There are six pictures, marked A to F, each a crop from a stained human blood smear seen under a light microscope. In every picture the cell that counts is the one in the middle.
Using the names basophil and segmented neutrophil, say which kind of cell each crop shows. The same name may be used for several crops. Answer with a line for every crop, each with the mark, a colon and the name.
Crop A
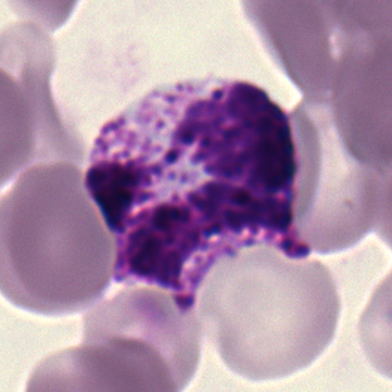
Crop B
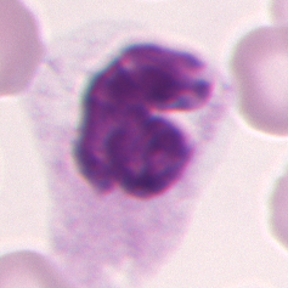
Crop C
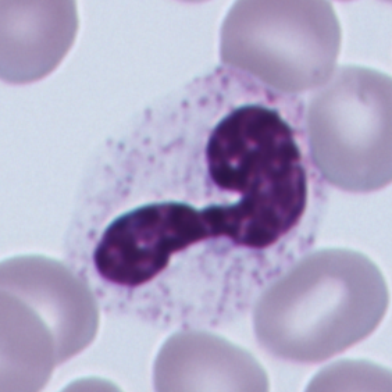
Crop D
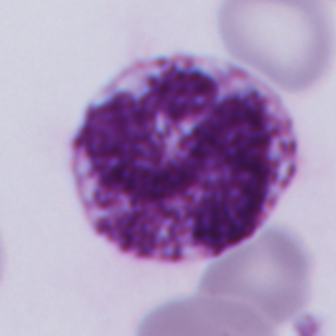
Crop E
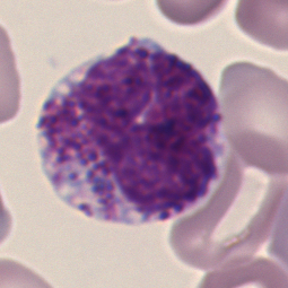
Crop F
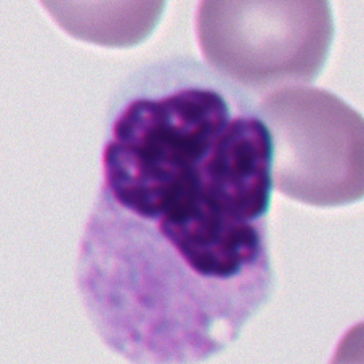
A: basophil
B: segmented neutrophil
C: segmented neutrophil
D: basophil
E: basophil
F: segmented neutrophil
